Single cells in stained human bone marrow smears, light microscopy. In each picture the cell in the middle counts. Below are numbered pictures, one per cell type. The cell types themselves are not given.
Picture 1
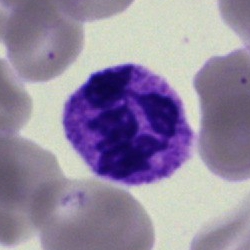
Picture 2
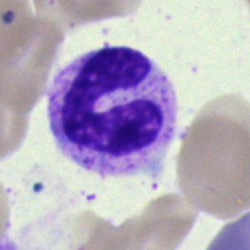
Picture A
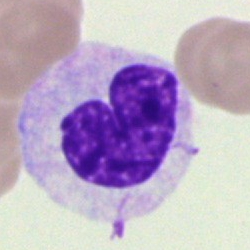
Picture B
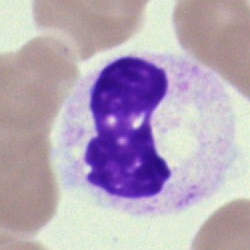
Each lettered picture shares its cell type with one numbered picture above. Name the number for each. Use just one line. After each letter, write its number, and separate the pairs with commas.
A 2, B 2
